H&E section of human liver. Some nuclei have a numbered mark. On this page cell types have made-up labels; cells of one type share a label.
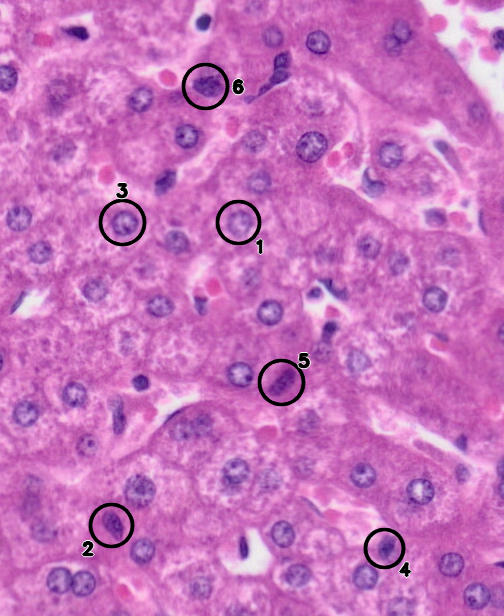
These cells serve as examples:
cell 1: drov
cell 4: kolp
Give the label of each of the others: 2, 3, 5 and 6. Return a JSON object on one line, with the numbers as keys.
{"2": "kolp", "3": "drov", "5": "kolp", "6": "kolp"}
